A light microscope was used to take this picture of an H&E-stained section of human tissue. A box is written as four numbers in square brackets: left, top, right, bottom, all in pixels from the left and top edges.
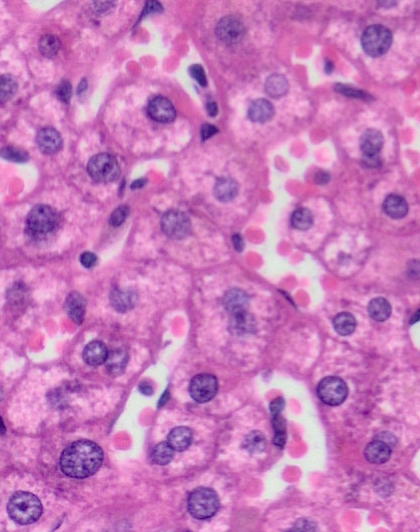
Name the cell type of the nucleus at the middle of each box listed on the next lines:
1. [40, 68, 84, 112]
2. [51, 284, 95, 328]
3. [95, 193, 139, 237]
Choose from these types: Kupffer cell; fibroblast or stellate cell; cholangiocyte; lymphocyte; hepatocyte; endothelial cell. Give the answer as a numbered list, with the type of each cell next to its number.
1. fibroblast or stellate cell
2. endothelial cell
3. Kupffer cell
